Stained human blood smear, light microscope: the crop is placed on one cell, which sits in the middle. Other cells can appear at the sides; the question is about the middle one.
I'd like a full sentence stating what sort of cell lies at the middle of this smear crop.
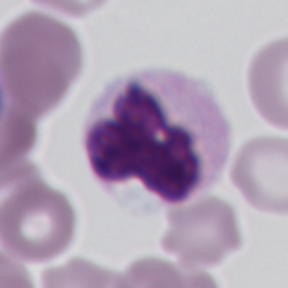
The cell nearest the centre of this crop is a segmented neutrophil.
